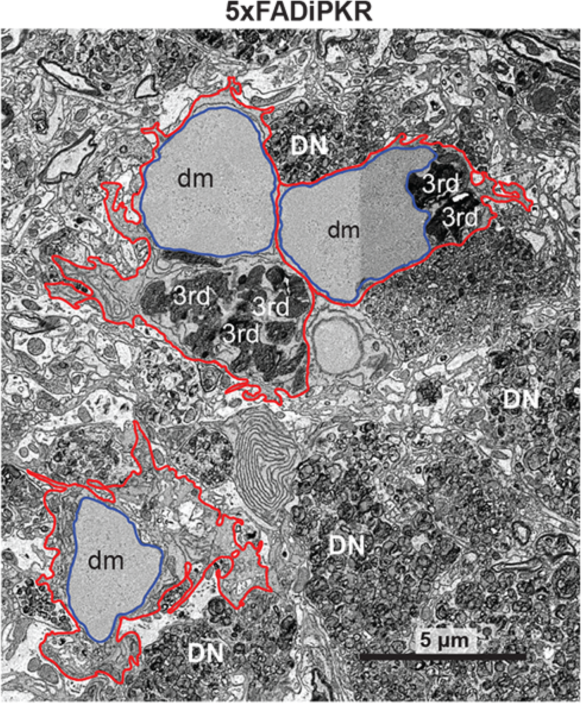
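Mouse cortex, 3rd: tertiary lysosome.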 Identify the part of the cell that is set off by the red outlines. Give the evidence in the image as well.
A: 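The red line runs around the outer edge of each dark cell, following its irregular processes. The red line encloses both the nucleus and the surrounding dark cytoplasm. On this evidence: cellular membrane.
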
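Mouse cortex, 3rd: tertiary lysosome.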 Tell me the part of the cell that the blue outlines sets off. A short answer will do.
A: Nuclear membrane.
